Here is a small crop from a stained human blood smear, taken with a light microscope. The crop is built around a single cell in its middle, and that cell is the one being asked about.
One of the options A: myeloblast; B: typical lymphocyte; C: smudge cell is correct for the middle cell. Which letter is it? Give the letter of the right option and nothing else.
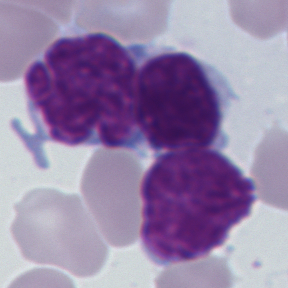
A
